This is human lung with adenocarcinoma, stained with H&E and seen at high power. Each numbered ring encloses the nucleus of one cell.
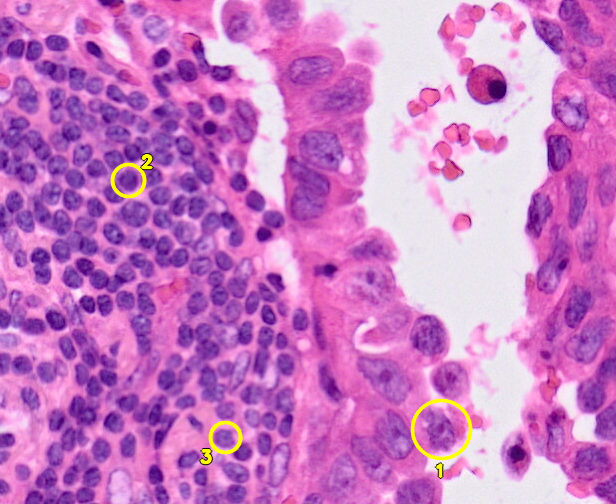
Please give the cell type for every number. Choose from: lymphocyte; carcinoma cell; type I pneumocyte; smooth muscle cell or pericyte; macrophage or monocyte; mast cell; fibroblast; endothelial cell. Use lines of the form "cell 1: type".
cell 1: carcinoma cell
cell 2: lymphocyte
cell 3: lymphocyte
